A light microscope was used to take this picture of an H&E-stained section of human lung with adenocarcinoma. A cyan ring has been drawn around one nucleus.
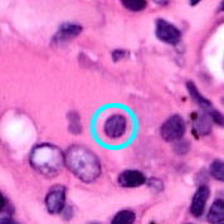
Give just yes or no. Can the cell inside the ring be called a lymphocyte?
yes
